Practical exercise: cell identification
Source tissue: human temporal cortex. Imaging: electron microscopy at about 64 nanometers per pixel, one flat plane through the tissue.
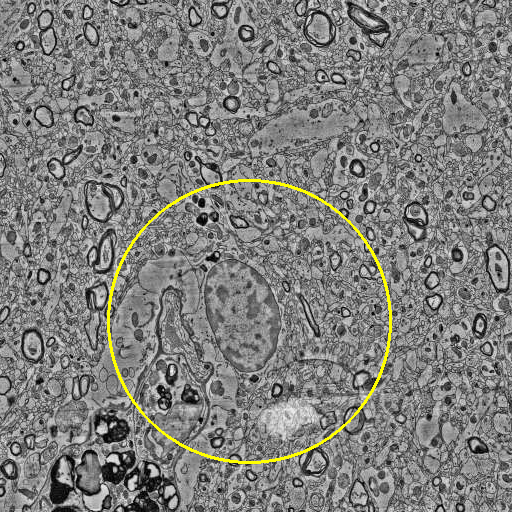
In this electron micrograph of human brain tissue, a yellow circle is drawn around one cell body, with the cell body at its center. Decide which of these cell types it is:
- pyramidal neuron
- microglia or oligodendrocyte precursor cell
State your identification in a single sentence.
The ringed cell is a microglial cell or oligodendrocyte precursor cell.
